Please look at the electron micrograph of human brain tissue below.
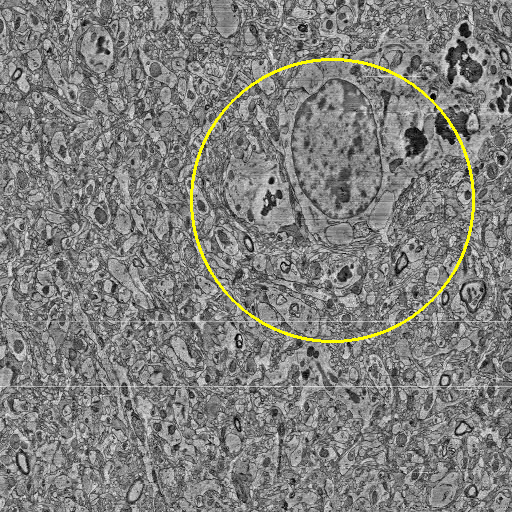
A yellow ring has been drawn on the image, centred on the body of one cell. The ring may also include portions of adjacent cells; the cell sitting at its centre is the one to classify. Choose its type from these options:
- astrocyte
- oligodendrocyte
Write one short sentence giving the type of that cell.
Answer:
The cell in the middle of the ring is an astrocyte.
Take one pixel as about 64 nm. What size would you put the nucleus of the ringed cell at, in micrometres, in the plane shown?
The nucleus is approximately 9 micrometres long but only about 6 wide, clearly longer than it is wide in this plane.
